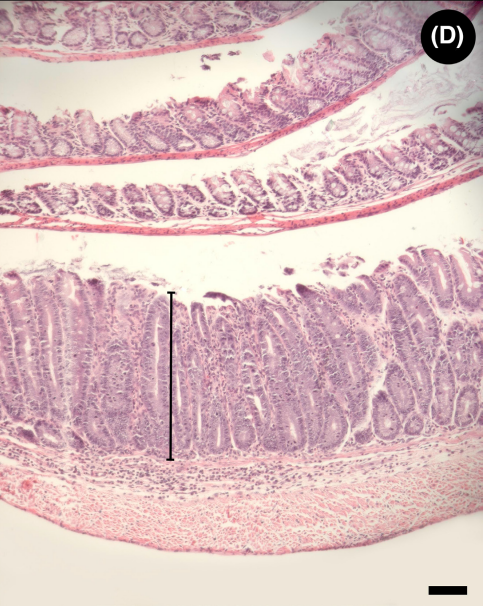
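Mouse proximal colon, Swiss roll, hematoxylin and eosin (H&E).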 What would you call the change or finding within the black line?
epithelial hyperplasia and goblet cell loss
